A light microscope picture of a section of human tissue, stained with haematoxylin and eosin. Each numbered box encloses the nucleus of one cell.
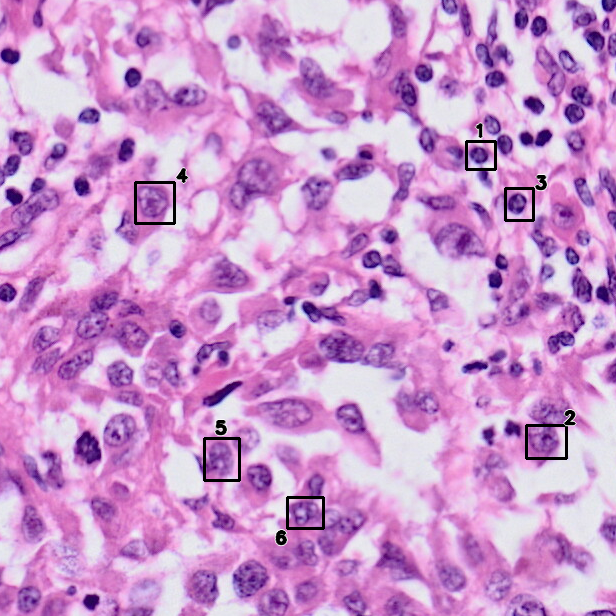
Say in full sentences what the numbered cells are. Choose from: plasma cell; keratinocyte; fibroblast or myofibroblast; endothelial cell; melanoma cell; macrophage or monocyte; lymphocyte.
Cell 1 is a lymphocyte, cell 2 is a melanoma cell, cell 3 is a lymphocyte, cell 4 is a melanoma cell, cell 5 is a melanoma cell and cell 6 is a melanoma cell.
